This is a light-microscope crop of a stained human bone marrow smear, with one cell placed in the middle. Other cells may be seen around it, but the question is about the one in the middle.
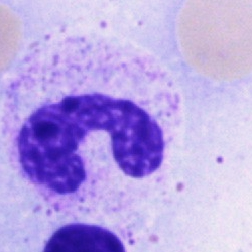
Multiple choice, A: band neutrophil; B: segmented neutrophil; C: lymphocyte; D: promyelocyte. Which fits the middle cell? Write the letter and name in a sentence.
Well, the cell in the middle is a band neutrophil, making option A right.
